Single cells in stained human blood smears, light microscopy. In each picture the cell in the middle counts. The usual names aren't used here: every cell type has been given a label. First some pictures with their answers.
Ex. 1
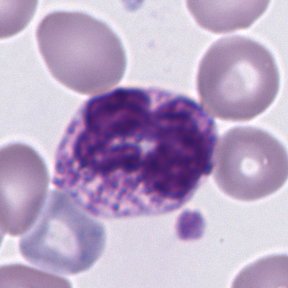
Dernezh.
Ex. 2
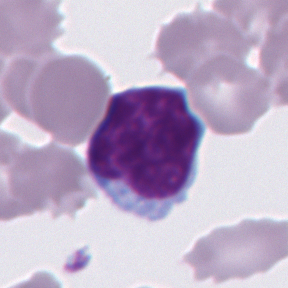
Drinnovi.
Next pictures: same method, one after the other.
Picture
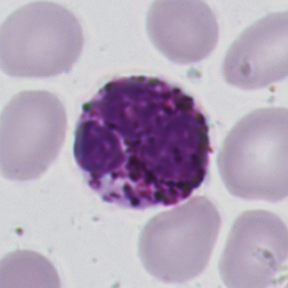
Dernezh.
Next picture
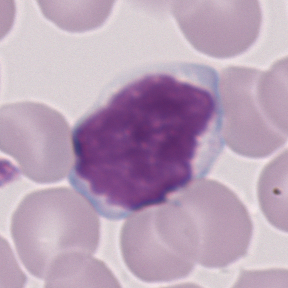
Drinnovi.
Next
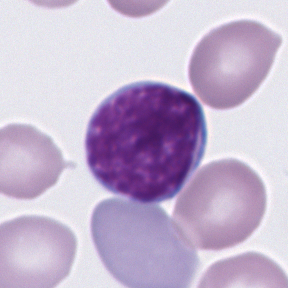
Drinnovi.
